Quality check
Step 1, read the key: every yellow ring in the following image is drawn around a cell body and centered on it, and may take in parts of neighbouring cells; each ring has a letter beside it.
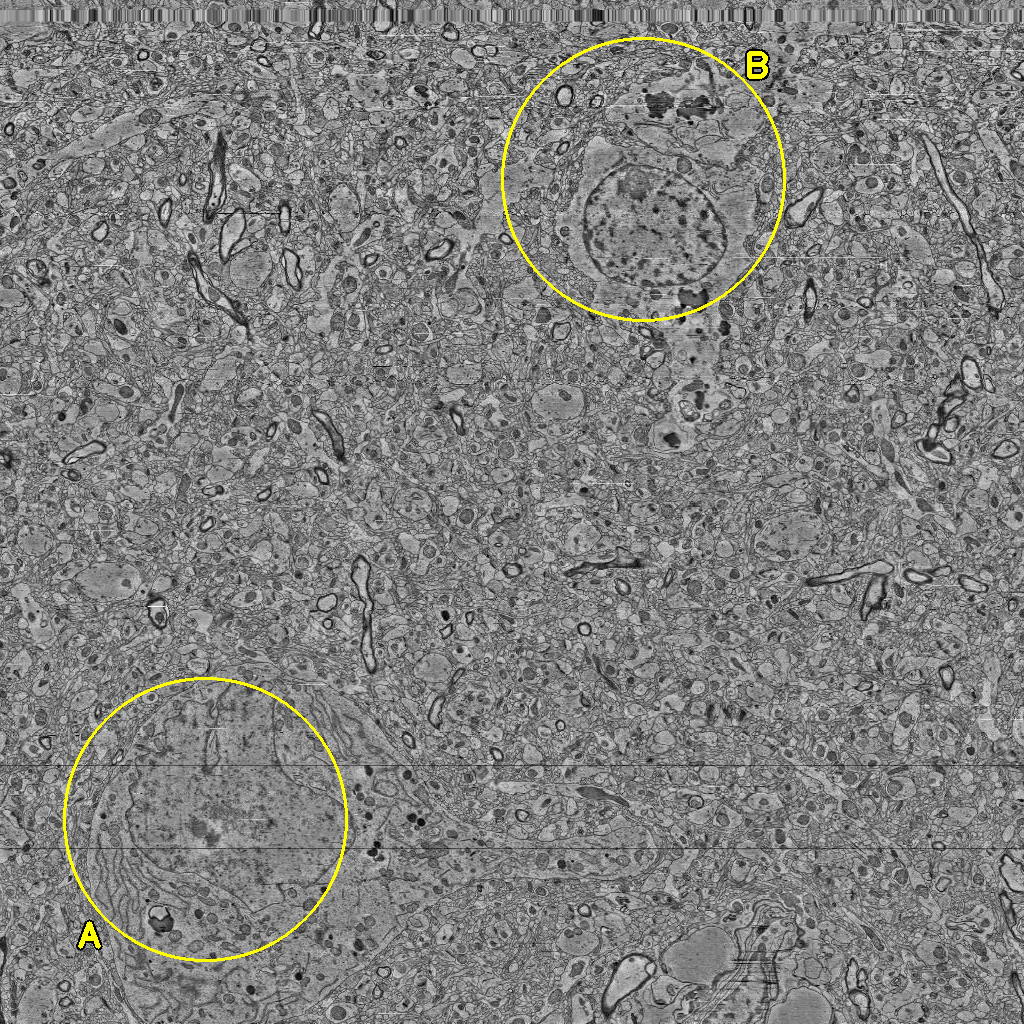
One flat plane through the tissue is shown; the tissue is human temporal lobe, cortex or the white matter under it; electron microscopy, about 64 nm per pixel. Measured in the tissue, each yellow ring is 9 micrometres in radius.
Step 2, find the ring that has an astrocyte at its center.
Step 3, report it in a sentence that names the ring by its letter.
Ring B is centered on that cell.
